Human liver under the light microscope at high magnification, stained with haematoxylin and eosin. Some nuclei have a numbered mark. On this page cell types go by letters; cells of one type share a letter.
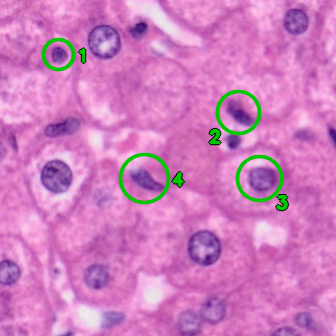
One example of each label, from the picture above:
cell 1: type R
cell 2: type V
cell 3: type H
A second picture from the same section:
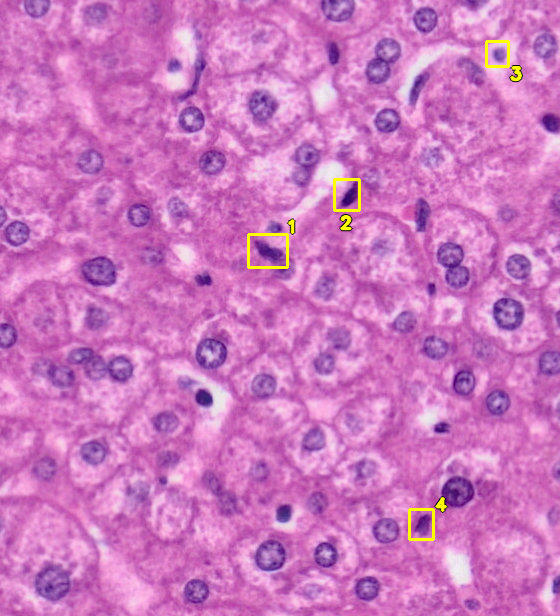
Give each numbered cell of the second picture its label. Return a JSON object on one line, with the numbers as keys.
{"1": "type V", "2": "type V", "3": "type R", "4": "type V"}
